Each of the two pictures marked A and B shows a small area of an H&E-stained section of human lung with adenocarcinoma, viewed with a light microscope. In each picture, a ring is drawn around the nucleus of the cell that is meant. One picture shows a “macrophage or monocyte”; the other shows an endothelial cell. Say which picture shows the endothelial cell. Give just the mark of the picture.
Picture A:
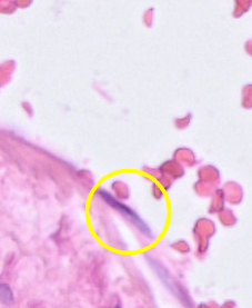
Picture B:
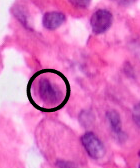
A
